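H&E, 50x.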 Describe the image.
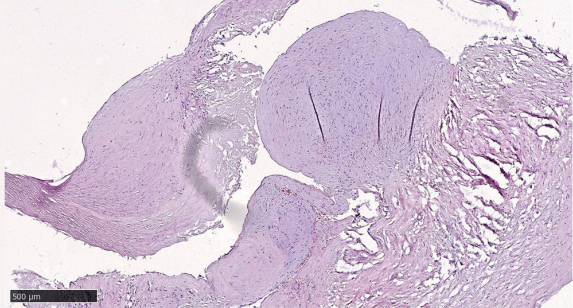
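Dense fibrous connective tissue forms rounded, cap-like fragments with streaming elongated spindle-shaped nuclei in a pink-purple collagenous background. Beside it lies looser, fragmented material with open spaces.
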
